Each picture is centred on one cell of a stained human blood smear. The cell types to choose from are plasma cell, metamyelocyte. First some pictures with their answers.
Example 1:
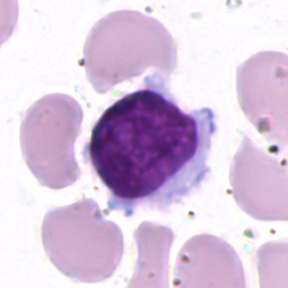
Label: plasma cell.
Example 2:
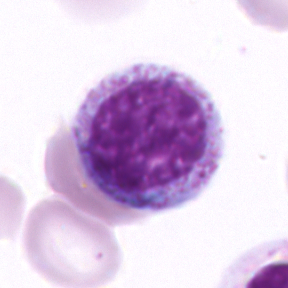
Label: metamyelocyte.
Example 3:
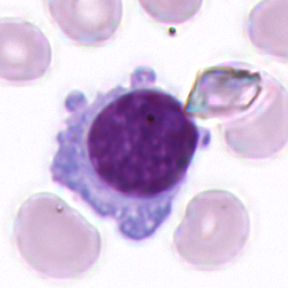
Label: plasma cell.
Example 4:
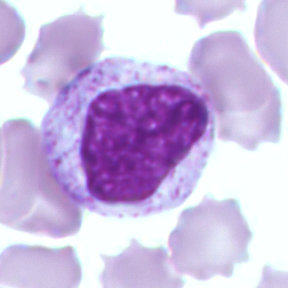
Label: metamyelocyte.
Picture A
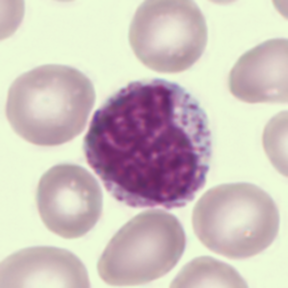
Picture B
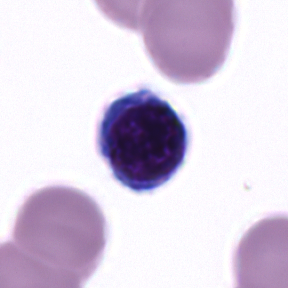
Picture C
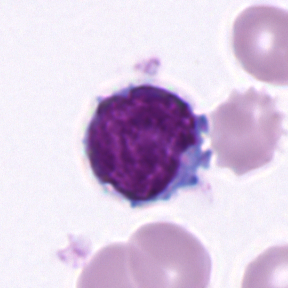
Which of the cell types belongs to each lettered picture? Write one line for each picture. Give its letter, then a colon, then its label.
A: metamyelocyte.
B: plasma cell.
C: plasma cell.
